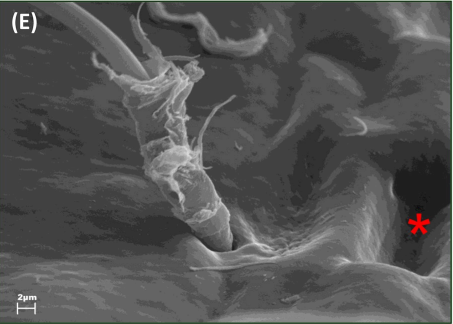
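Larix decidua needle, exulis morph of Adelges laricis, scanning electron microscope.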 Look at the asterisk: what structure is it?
Stoma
